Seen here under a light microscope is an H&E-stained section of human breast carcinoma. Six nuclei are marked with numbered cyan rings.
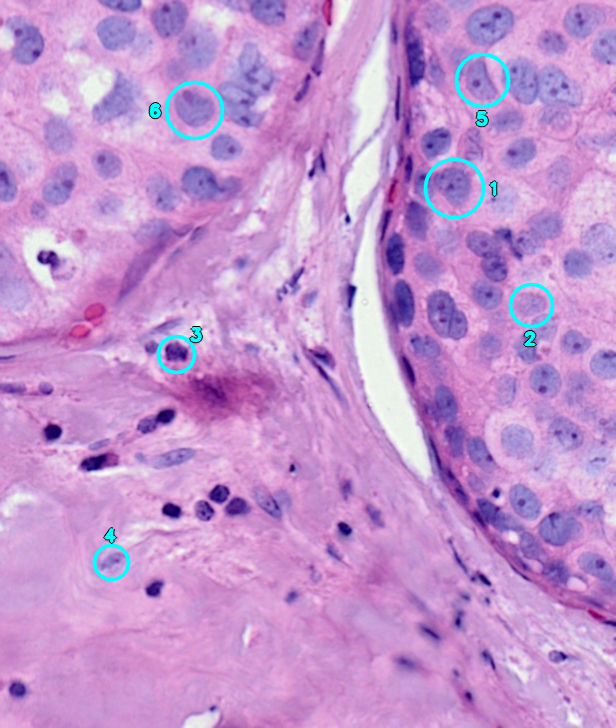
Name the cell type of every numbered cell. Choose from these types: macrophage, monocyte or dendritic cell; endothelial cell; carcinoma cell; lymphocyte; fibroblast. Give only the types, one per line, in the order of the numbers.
carcinoma cell
carcinoma cell
lymphocyte
fibroblast
carcinoma cell
carcinoma cell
